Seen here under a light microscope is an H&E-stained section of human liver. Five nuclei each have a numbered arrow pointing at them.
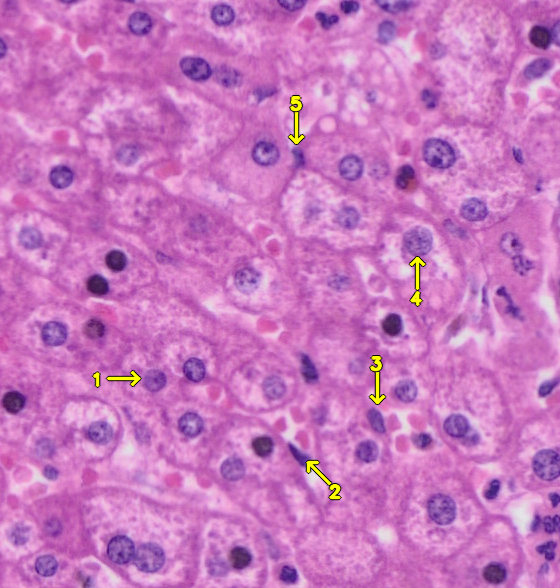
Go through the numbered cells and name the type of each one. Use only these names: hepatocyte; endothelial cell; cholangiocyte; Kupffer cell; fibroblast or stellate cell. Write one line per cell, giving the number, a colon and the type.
1: hepatocyte
2: endothelial cell
3: Kupffer cell
4: hepatocyte
5: fibroblast or stellate cell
